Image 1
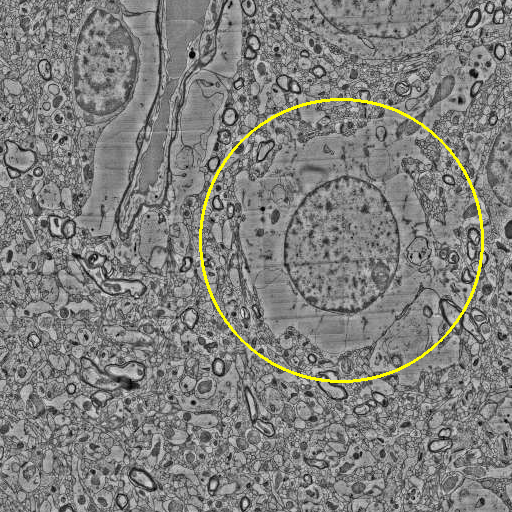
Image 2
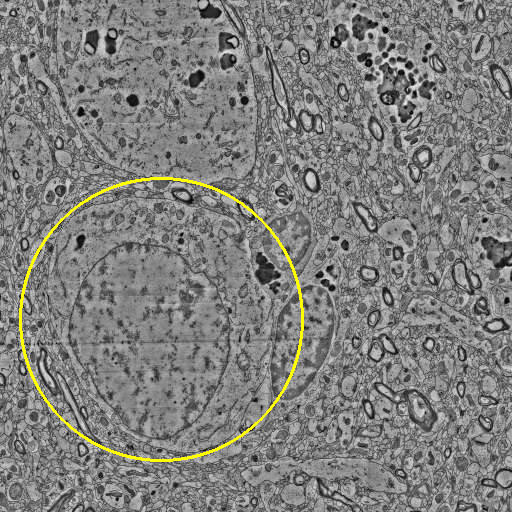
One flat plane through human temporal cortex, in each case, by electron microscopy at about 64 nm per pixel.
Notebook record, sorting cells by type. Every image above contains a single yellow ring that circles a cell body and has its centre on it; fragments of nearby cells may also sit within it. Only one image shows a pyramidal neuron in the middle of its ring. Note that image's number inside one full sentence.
For image 2, the cell in the middle of its yellow ring is the match.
